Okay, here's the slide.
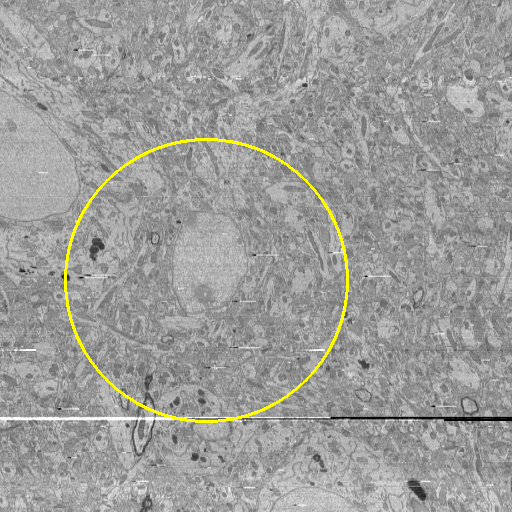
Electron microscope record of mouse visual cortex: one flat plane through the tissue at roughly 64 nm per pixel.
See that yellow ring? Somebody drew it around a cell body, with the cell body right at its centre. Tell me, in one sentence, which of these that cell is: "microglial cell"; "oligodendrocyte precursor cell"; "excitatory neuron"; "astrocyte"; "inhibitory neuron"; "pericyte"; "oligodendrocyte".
The cell in the middle of the ring is an astrocyte.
